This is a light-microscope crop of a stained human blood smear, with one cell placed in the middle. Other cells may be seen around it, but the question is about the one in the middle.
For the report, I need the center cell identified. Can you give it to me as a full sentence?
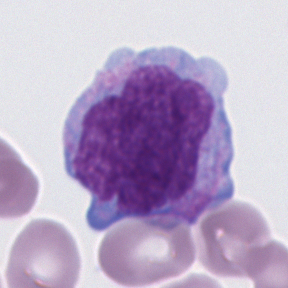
By type, the central cell of the crop is an atypical promyelocyte.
